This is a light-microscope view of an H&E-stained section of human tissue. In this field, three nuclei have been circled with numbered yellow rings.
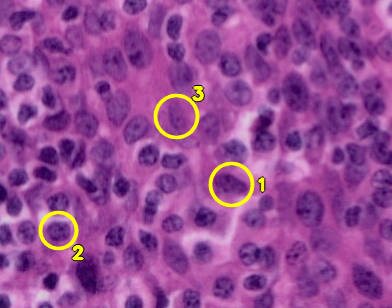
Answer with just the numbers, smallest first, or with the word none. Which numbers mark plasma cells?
2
